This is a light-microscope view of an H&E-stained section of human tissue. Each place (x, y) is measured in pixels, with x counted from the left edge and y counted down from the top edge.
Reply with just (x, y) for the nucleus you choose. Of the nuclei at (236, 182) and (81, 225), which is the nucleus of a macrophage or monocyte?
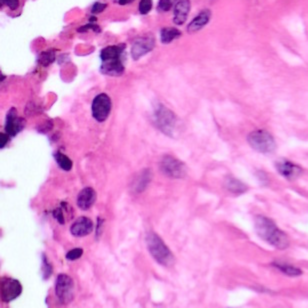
(81, 225)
